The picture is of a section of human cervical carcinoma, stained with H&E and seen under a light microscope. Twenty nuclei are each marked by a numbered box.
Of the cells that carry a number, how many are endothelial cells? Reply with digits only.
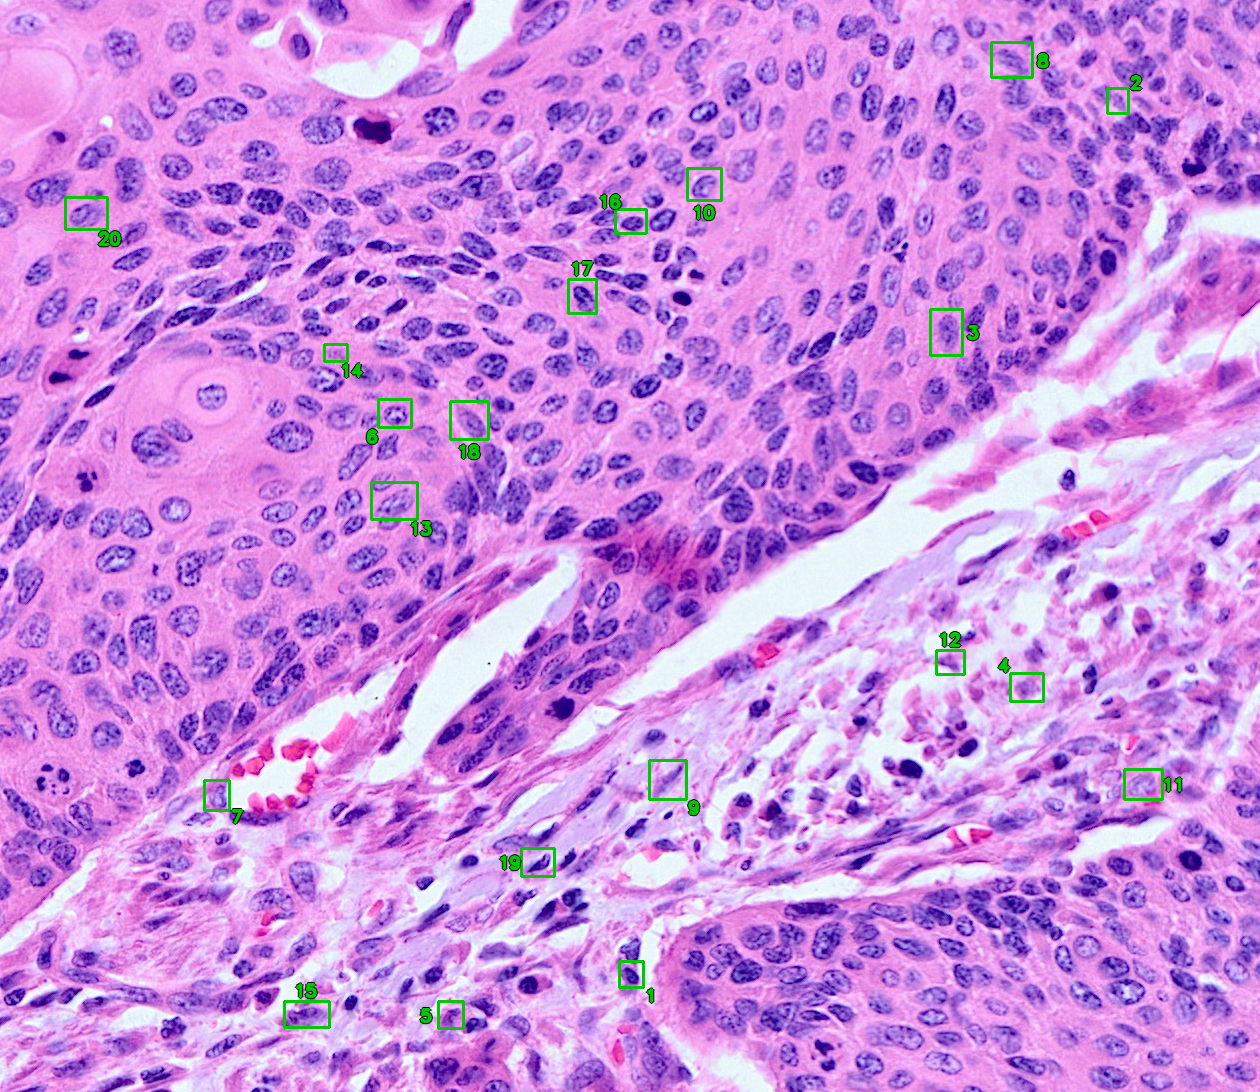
2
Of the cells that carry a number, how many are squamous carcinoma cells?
11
